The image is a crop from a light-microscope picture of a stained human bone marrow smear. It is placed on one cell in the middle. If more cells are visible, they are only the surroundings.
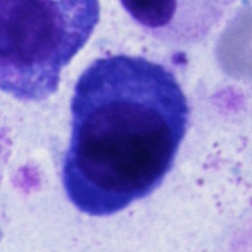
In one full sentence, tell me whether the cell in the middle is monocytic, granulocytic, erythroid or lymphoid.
Designated lymphoid in lineage is the cell at the center of the crop.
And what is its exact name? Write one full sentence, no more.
In short, the cell at the center is a plasma cell.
